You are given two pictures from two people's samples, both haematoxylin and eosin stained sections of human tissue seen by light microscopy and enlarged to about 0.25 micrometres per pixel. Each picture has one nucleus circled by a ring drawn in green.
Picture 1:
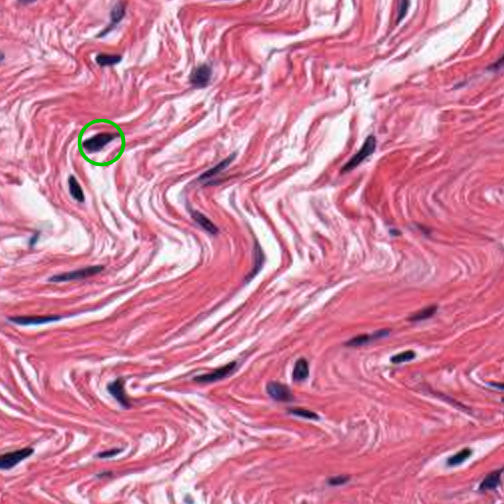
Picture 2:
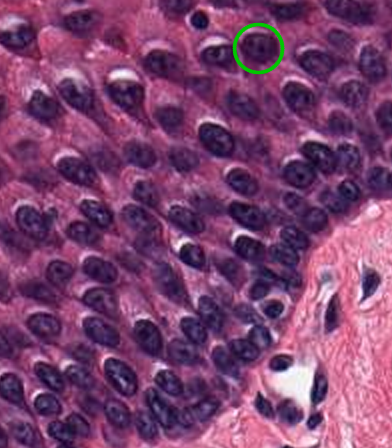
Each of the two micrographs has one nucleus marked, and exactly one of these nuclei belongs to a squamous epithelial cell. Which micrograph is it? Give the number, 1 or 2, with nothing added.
2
